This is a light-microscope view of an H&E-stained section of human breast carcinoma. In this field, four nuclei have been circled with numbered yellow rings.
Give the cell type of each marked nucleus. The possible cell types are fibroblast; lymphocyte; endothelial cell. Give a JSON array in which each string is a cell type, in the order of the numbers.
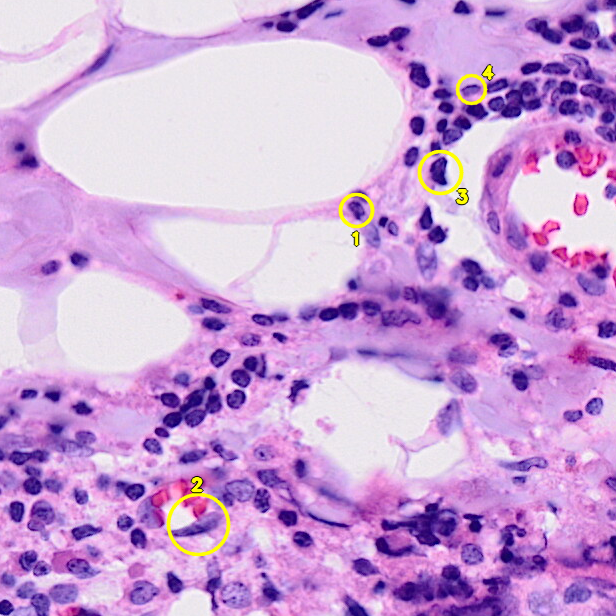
["lymphocyte", "endothelial cell", "lymphocyte", "lymphocyte"]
